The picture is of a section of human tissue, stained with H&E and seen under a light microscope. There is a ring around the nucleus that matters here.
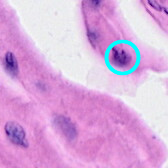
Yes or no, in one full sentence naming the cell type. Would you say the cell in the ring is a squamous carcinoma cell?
Yes, the cell in the ring has been classified as a squamous carcinoma cell.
